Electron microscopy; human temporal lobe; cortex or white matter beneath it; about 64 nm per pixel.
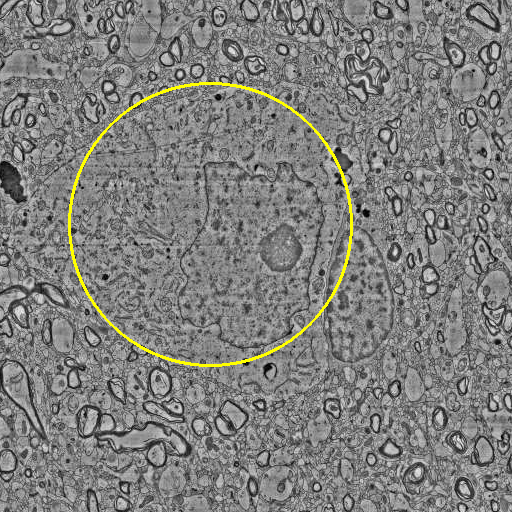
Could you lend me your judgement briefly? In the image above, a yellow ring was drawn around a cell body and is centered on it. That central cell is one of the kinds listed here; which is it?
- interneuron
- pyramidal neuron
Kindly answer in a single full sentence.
Going by the list, a pyramidal neuron is the kind at the ring's center in the picture.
